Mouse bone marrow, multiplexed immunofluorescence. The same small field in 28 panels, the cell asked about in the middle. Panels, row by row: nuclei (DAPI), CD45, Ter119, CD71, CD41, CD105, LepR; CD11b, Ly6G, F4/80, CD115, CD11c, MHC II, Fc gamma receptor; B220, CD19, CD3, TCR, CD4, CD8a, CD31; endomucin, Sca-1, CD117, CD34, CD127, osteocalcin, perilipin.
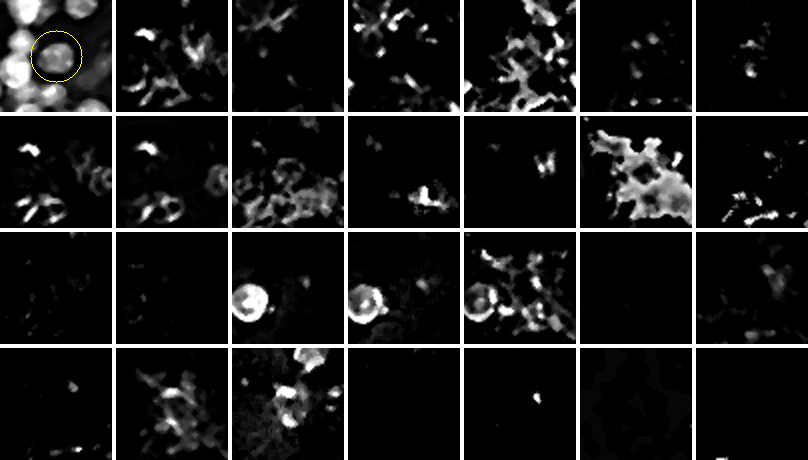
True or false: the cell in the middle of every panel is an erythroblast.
False; it is a KLS stem or progenitor cell.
